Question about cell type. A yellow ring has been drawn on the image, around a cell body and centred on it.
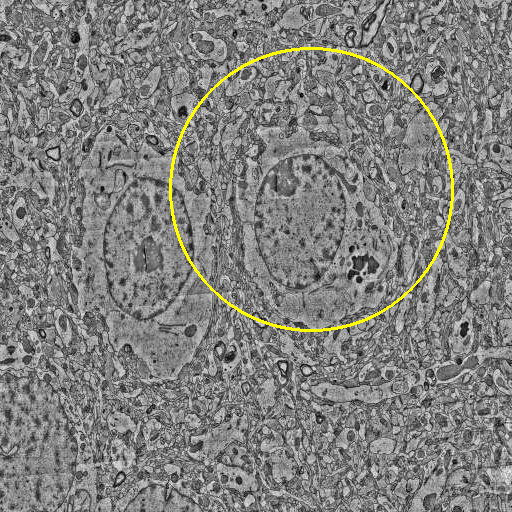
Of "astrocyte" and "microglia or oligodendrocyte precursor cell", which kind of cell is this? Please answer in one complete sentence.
At the centre of the ring lies an astrocyte.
